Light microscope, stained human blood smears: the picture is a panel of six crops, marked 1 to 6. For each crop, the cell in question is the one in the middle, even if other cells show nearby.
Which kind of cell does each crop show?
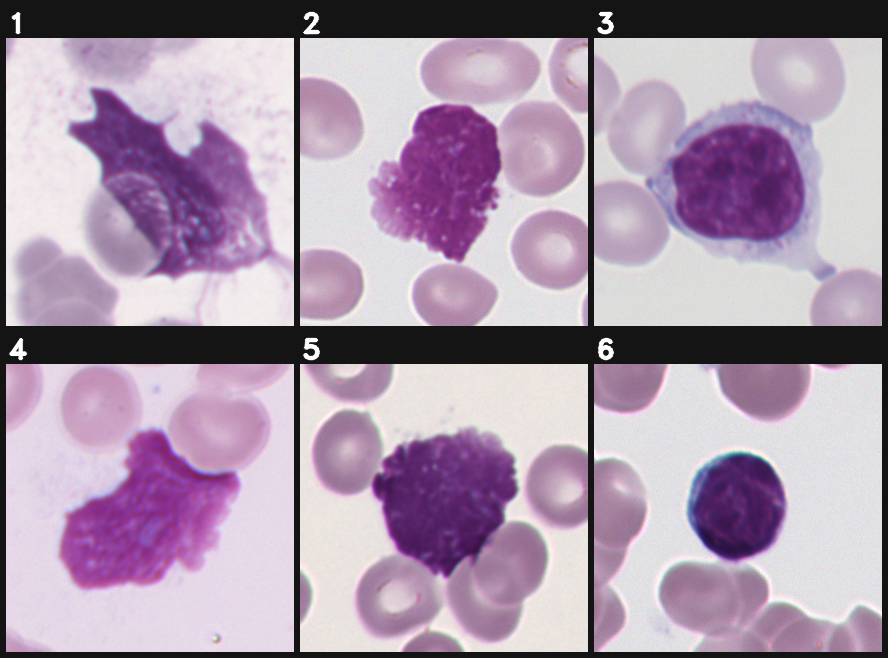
1: smudge cell
2: smudge cell
3: typical lymphocyte
4: smudge cell
5: smudge cell
6: typical lymphocyte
